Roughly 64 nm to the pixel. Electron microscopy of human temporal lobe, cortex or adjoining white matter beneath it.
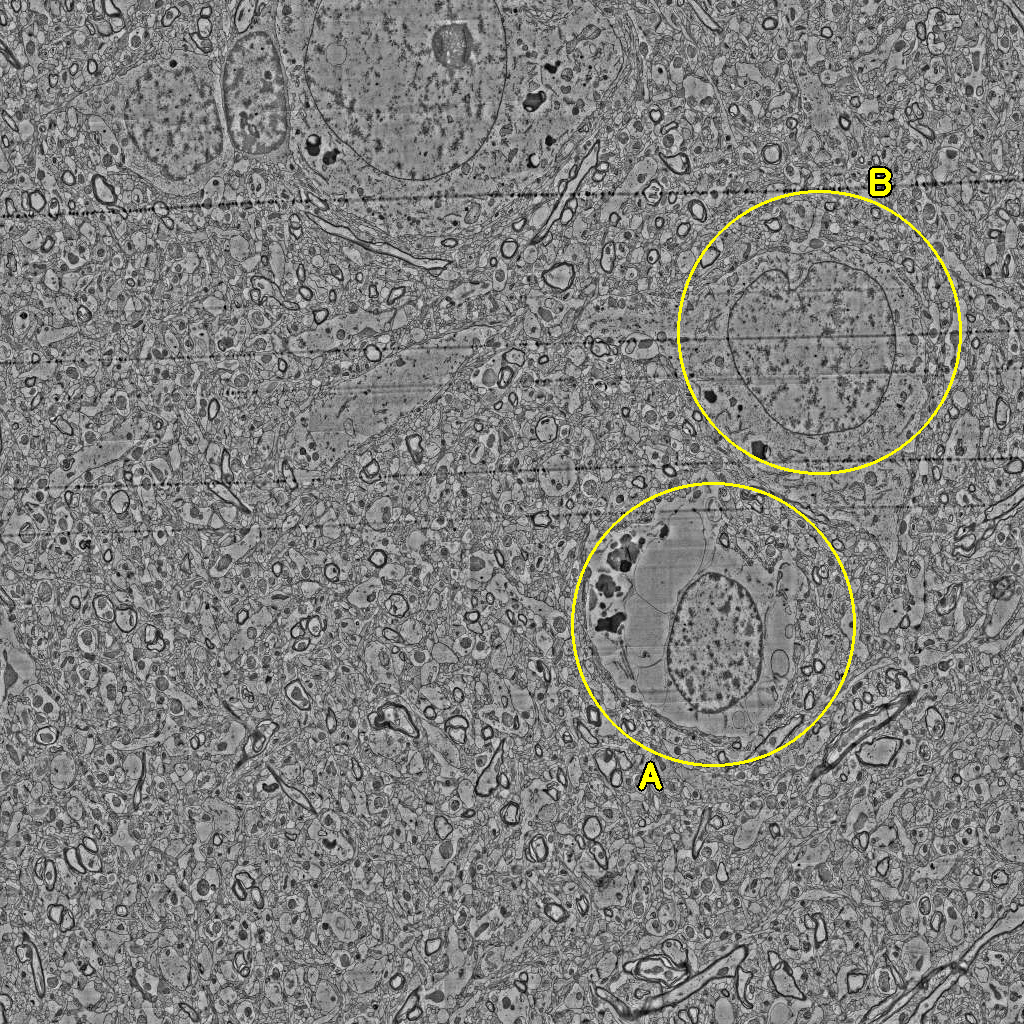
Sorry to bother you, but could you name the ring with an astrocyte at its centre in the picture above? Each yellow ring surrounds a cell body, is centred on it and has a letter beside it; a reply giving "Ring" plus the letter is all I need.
Ring A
